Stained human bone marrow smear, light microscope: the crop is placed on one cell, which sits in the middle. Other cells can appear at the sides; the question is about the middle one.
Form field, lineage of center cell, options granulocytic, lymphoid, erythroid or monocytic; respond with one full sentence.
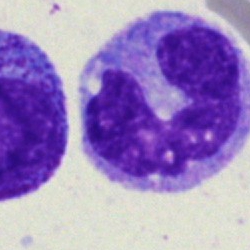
The cell in the middle of the crop is sorted into the monocytic lineage.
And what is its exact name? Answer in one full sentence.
The middle position in this crop is taken by a monocyte.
